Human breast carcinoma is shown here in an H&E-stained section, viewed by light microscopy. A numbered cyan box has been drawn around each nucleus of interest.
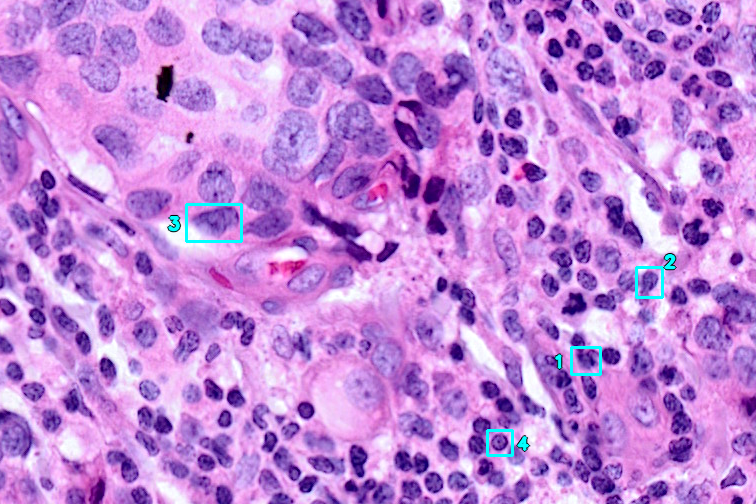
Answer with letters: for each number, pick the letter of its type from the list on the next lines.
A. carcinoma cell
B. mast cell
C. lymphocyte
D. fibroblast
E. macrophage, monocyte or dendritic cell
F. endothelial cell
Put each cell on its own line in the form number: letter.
1: C
2: C
3: A
4: C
